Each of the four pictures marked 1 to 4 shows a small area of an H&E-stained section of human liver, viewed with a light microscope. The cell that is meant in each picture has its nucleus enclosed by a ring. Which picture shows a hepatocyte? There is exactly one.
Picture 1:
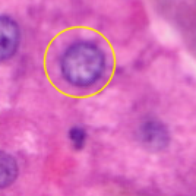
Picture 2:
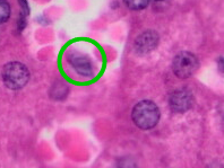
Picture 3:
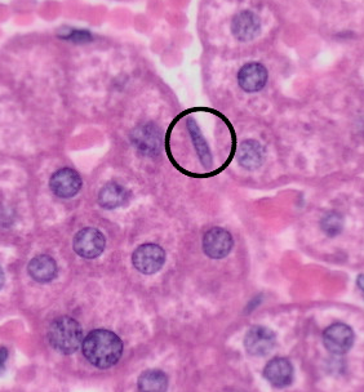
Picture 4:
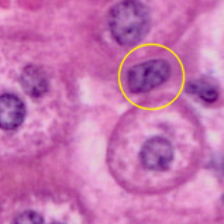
1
